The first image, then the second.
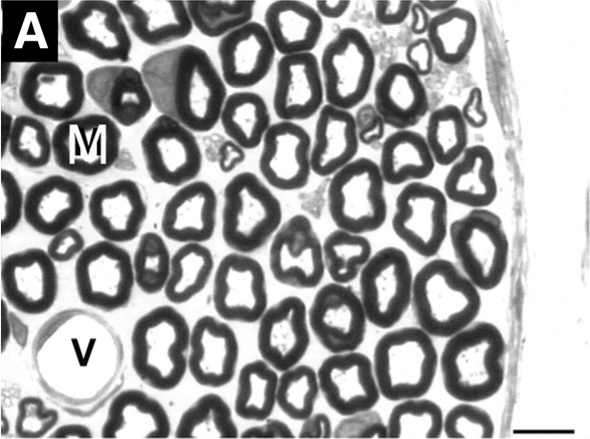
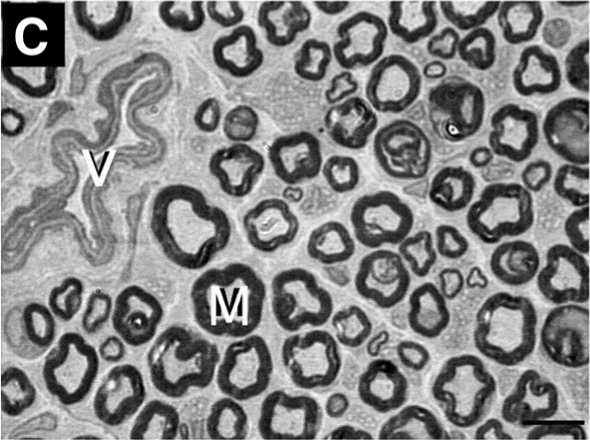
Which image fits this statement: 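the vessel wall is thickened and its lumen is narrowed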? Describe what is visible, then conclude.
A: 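The second image. Second image: the vessel has a thick folded wall and a slit-like lumen. First image: the vessel has a thin wall and a wide round open lumen.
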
